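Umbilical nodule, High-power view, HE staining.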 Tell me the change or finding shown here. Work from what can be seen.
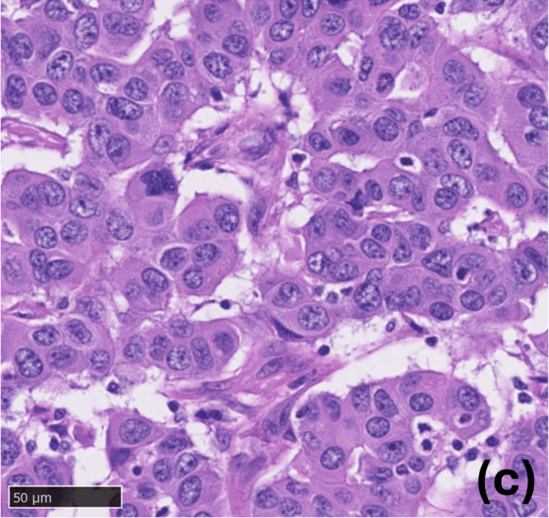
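Nuclei are large, vesicular and vary in size and shape. Many nuclei show prominent nucleoli. Tumor cells are crowded in solid nests with abundant pink cytoplasm. On this evidence: moderate to severe nuclear atypia.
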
